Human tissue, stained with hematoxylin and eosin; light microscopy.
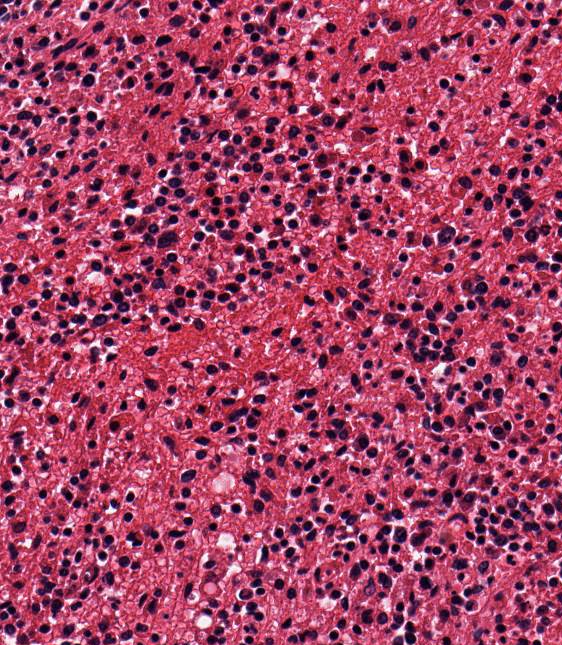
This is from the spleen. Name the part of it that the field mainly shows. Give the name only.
red pulp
